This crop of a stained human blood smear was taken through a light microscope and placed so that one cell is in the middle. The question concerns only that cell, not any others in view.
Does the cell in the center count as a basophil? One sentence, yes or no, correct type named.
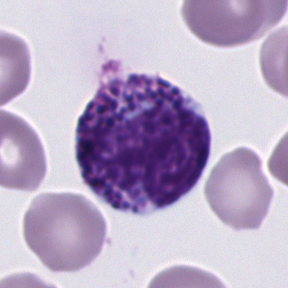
Yes, the cell shown in the middle is a basophil.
